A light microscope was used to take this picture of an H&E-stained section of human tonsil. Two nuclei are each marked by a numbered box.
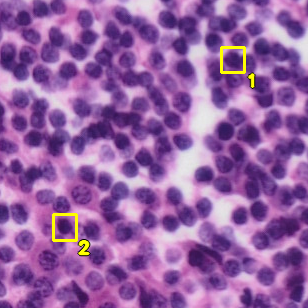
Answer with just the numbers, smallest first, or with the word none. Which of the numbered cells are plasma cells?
2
